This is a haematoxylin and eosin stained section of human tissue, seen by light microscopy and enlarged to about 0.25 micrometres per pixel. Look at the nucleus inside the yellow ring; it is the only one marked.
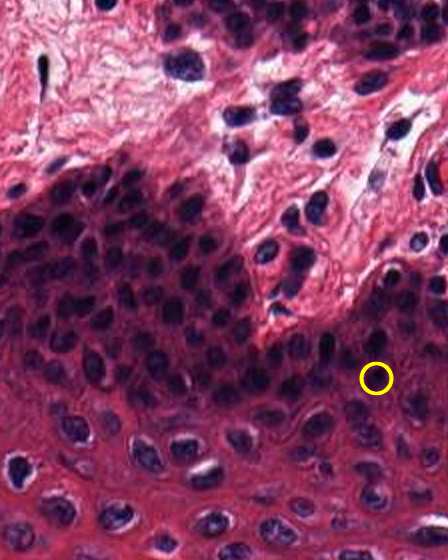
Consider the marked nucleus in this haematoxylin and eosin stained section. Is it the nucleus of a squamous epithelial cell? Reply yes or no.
yes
